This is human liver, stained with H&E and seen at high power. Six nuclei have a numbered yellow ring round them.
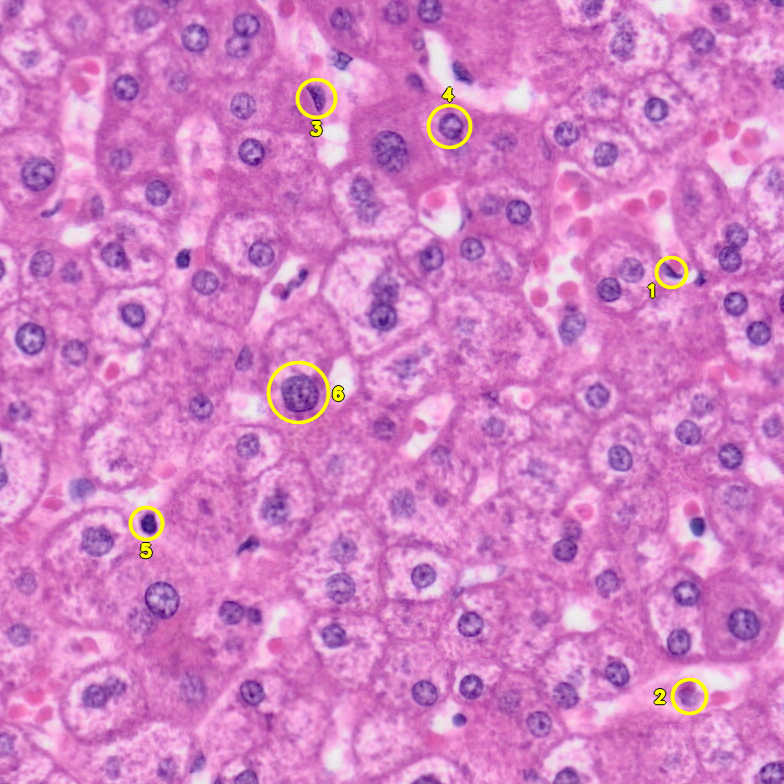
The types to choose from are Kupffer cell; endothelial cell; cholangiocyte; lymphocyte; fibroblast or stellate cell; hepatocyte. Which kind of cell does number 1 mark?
endothelial cell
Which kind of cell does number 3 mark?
fibroblast or stellate cell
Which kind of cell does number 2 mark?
Kupffer cell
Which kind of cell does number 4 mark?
hepatocyte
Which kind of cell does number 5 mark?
lymphocyte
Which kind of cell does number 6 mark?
hepatocyte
